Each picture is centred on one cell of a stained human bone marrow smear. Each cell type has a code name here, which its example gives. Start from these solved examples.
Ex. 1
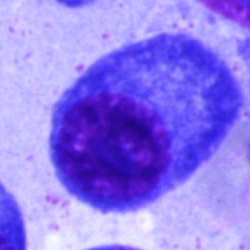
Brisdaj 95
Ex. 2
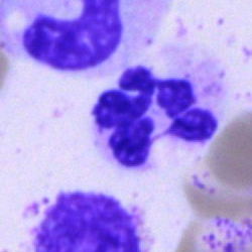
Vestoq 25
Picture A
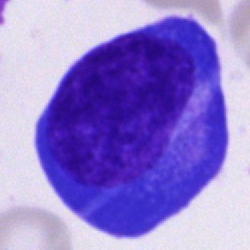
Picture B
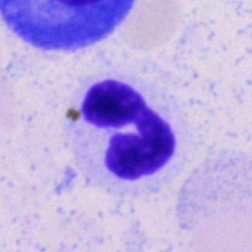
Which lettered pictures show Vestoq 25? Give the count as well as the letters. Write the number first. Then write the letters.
1: B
